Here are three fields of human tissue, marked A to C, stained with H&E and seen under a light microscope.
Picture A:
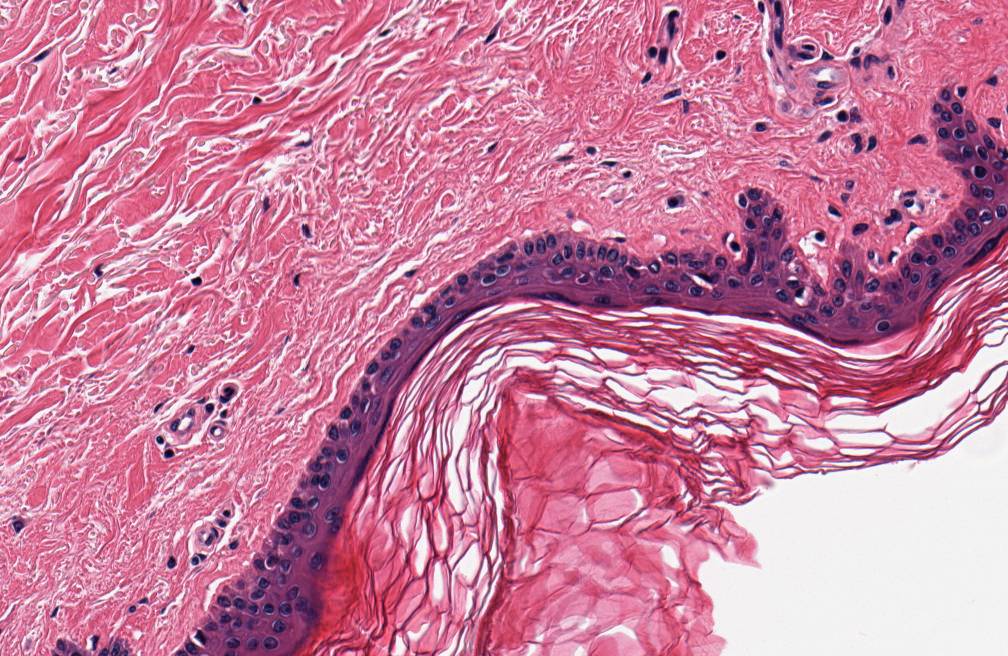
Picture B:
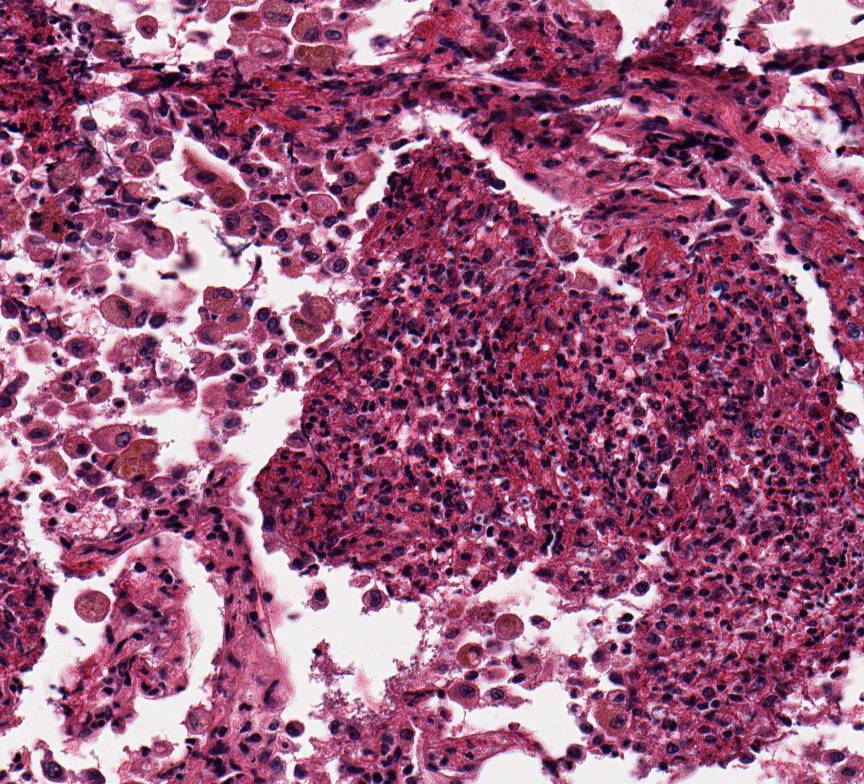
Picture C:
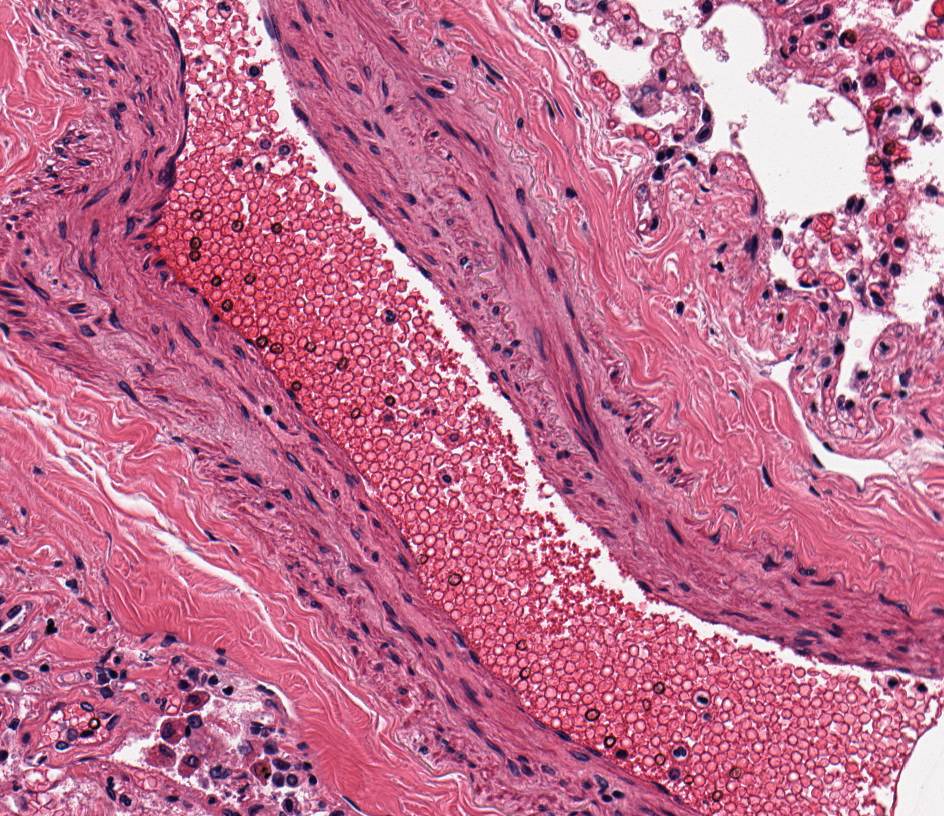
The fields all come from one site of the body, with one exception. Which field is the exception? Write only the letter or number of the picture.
A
